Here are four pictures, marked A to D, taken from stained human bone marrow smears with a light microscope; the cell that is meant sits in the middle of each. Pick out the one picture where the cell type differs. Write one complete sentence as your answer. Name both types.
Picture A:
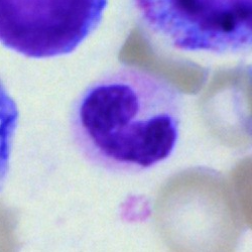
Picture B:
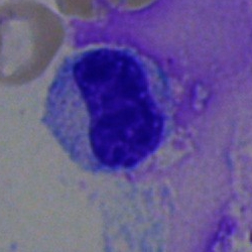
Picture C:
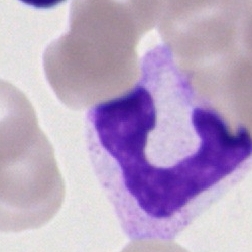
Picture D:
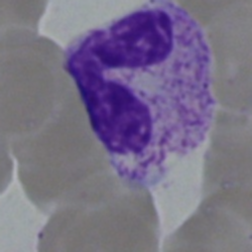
The others show band neutrophils, but picture B shows a metamyelocyte.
